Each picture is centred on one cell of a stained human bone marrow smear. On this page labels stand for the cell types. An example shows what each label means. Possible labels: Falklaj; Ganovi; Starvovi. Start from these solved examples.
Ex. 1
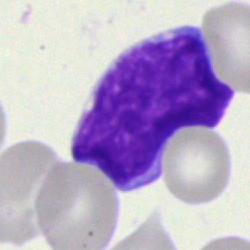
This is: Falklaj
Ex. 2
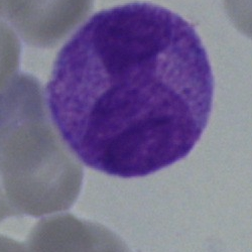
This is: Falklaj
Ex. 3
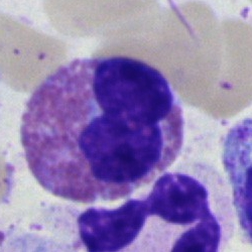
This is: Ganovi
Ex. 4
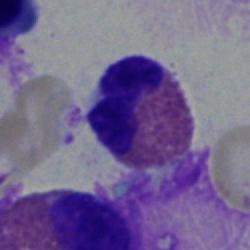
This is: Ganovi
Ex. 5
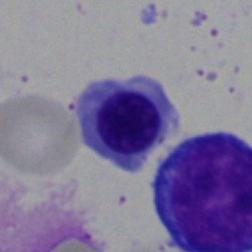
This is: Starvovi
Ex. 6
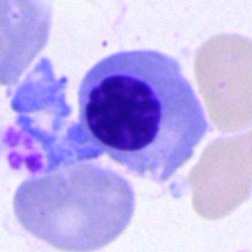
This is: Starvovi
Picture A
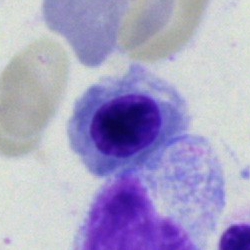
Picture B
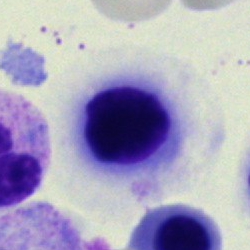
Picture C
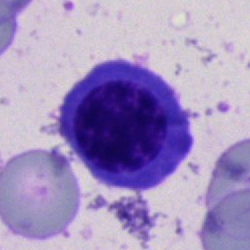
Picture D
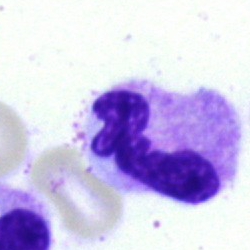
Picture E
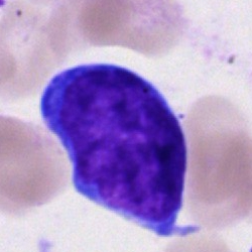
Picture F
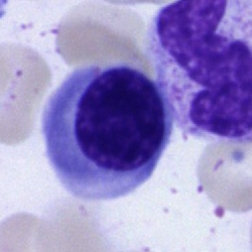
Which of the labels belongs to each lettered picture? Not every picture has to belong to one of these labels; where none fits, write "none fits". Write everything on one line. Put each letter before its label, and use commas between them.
A Starvovi, B Starvovi, C Starvovi, D none fits, E Falklaj, F Starvovi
